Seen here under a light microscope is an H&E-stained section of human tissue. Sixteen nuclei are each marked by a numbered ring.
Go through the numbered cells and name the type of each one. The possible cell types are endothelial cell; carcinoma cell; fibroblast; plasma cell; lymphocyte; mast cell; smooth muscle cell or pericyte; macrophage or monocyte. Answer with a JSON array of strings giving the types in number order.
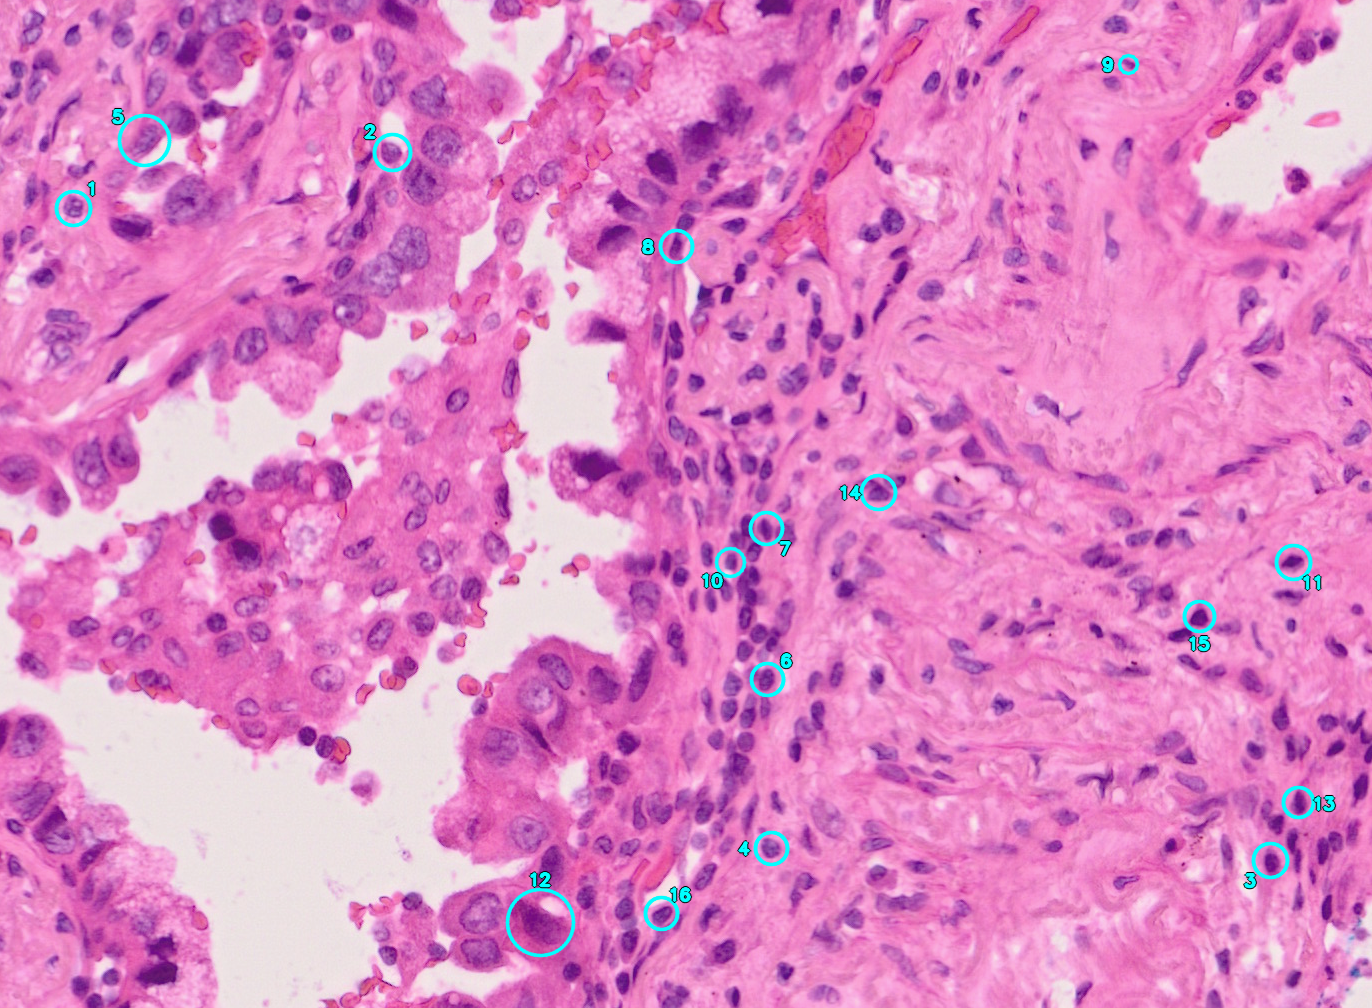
["lymphocyte", "lymphocyte", "plasma cell", "lymphocyte", "carcinoma cell", "lymphocyte", "lymphocyte", "lymphocyte", "smooth muscle cell or pericyte", "lymphocyte", "plasma cell", "carcinoma cell", "plasma cell", "lymphocyte", "plasma cell", "lymphocyte"]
